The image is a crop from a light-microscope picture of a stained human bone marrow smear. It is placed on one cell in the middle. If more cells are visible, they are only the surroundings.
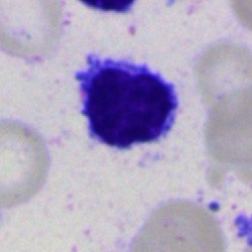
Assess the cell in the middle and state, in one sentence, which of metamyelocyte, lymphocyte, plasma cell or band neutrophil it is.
At the middle of the frame sits a lymphocyte.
